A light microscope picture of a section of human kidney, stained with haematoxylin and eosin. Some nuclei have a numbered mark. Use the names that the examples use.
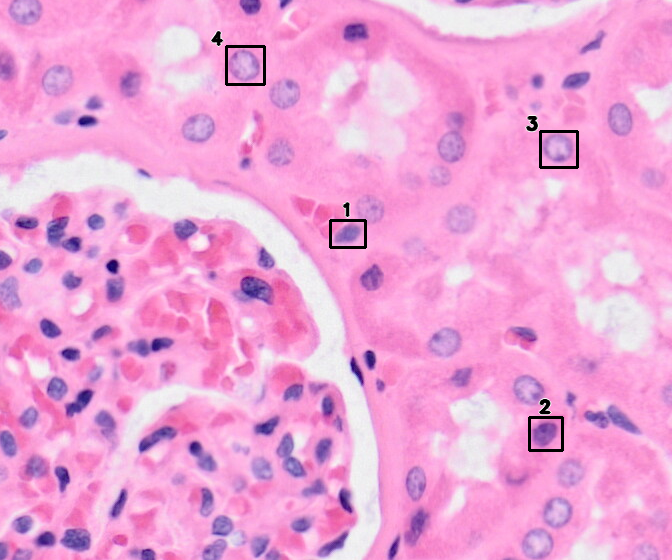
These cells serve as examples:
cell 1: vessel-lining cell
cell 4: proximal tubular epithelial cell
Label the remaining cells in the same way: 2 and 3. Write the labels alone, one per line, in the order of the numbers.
proximal tubular epithelial cell
proximal tubular epithelial cell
